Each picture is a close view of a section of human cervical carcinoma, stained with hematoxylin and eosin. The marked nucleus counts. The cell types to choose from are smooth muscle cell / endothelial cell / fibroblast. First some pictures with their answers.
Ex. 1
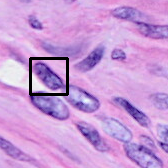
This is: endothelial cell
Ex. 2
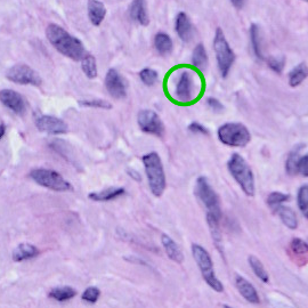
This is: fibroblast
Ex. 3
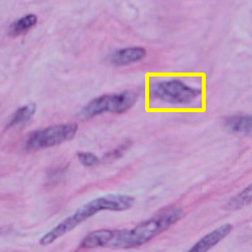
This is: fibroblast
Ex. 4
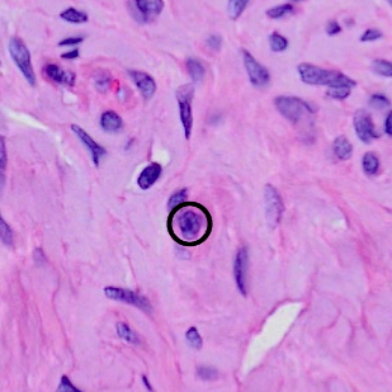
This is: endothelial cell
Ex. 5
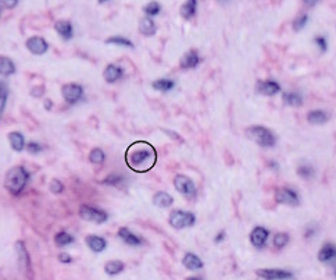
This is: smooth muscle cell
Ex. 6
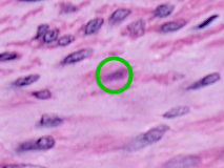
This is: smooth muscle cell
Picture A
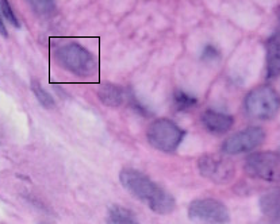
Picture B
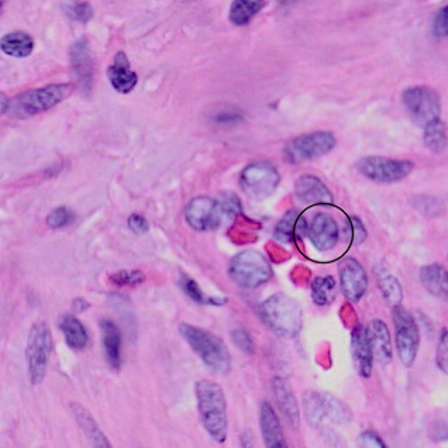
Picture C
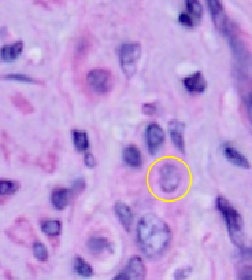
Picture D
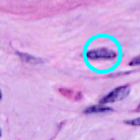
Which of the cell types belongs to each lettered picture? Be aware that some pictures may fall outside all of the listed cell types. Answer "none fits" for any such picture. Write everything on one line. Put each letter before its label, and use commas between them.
A none fits, B endothelial cell, C endothelial cell, D fibroblast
